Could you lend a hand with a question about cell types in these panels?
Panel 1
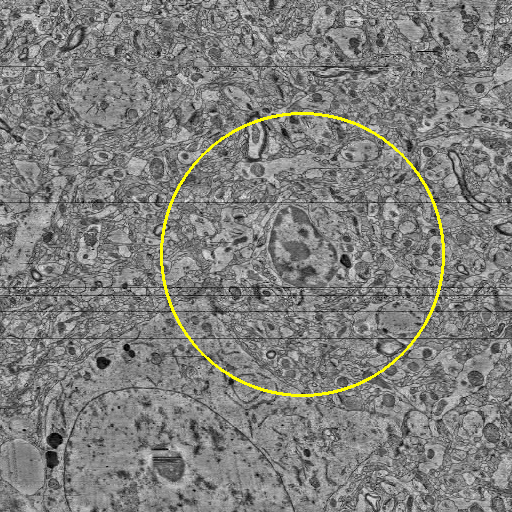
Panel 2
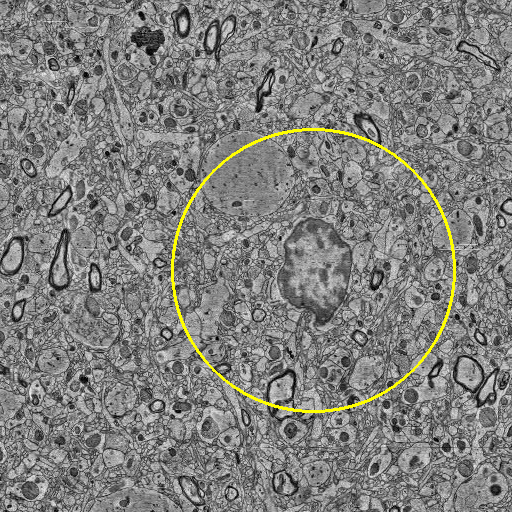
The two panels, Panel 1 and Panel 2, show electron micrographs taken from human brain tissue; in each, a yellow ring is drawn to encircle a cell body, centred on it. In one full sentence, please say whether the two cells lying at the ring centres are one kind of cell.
Yes, the cells at the ring centres in the two panels are one kind of cell.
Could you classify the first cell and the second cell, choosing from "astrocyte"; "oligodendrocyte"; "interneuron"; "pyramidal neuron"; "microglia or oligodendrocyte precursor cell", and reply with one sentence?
Both cells are the same kind, each one being a microglial cell or oligodendrocyte precursor cell.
